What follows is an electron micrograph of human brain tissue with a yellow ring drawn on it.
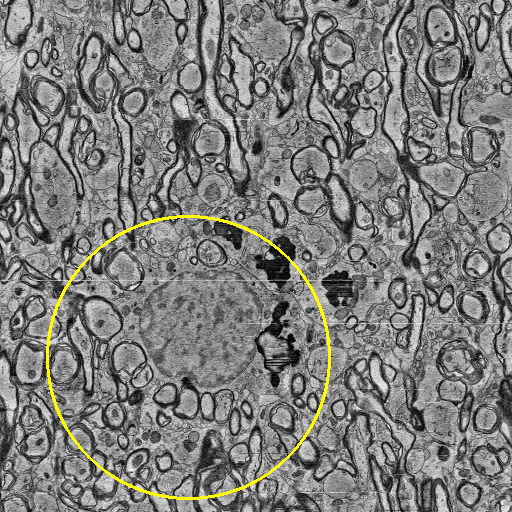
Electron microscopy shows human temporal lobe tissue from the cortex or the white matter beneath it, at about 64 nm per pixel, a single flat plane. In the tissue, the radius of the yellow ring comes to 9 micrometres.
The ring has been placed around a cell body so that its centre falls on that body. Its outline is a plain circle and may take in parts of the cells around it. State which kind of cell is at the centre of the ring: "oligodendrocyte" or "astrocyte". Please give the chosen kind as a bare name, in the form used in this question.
oligodendrocyte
